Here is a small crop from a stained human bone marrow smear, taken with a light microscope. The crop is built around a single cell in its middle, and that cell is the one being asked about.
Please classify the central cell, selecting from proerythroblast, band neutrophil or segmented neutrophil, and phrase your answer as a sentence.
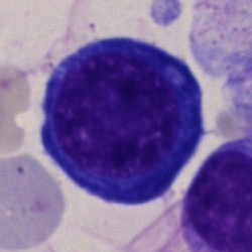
Occupying the centre of the crop is a proerythroblast.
